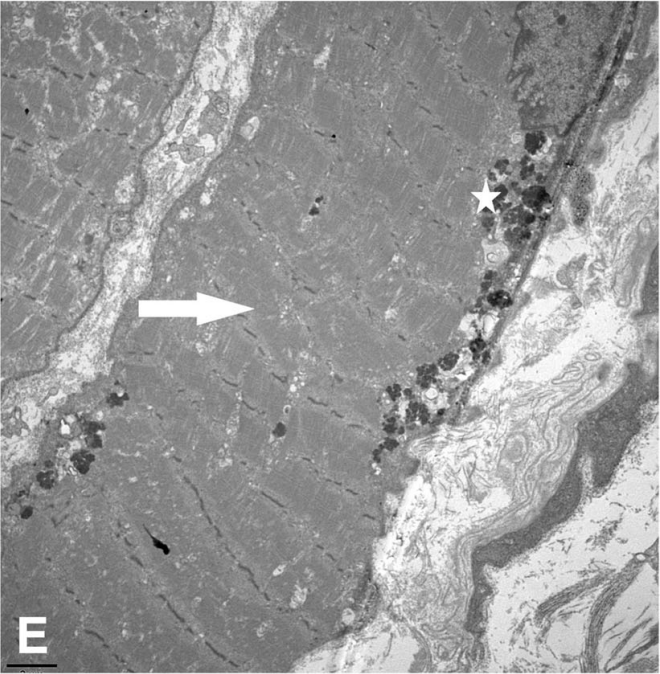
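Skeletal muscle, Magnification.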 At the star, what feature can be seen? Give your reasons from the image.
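Clusters of electron-dense, mottled granular bodies lie at the edge of the fiber beneath its surface membrane. So: lipofuscin deposition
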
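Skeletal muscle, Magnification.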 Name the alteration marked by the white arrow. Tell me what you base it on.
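Myofibrillar disorganization. Striations are irregular and the dark cross-bands are wavy and misaligned across the fiber.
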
